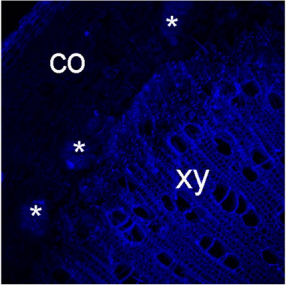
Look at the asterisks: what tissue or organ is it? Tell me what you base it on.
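Sclerenchyma. The asterisks mark small discrete patches that fluoresce brighter blue than the surrounding cortex.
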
